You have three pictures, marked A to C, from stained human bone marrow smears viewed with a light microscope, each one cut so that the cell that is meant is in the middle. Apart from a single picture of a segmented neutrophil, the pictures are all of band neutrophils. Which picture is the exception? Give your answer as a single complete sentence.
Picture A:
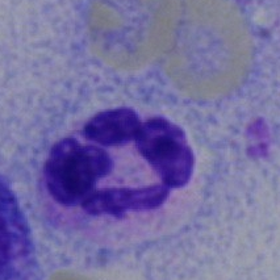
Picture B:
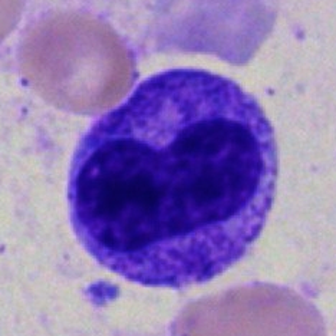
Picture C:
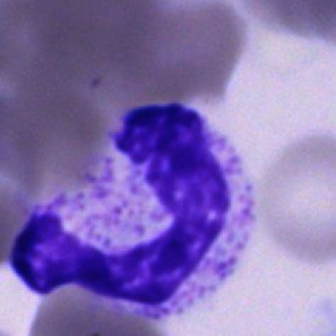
The cell in picture A is the segmented neutrophil.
